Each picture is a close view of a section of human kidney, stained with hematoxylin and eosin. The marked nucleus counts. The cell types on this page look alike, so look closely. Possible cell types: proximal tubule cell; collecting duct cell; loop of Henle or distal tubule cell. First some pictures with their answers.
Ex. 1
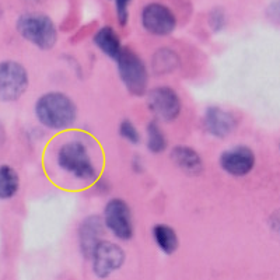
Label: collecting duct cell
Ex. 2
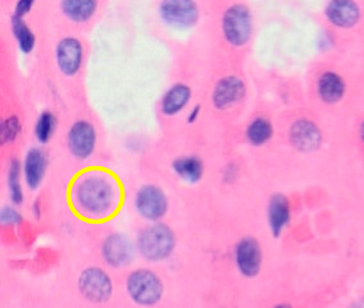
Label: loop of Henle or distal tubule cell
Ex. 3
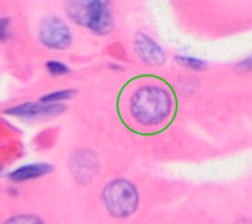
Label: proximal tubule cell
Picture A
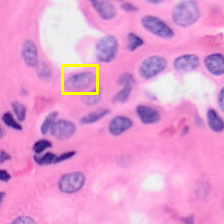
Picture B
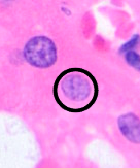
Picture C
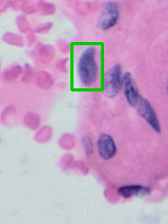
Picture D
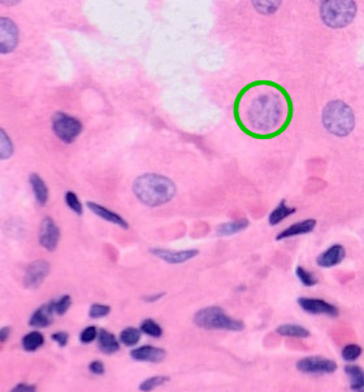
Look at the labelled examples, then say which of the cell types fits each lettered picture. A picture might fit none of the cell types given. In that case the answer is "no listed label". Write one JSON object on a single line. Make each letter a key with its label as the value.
{"A": "collecting duct cell", "B": "proximal tubule cell", "C": "no listed label", "D": "proximal tubule cell"}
